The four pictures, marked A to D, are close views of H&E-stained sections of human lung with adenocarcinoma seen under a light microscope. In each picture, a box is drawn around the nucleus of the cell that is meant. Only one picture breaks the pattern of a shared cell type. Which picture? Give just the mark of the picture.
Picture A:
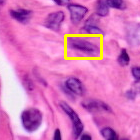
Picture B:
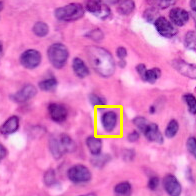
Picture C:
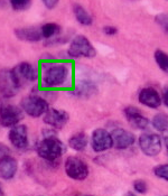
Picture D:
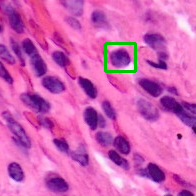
A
